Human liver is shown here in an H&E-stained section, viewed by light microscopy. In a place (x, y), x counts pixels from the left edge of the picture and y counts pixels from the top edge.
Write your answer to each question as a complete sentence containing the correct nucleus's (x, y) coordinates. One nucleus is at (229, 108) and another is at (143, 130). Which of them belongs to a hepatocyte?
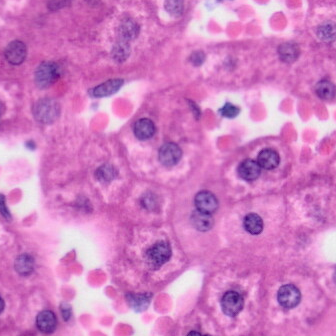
Among the two, the nucleus at (143, 130) is the nucleus of a hepatocyte.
